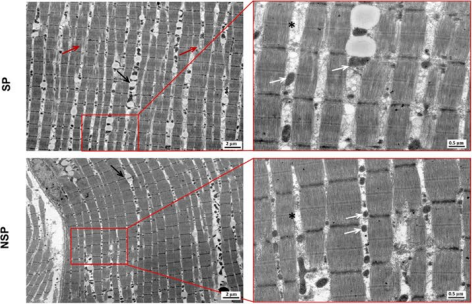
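Longitudinal electron micrographs of skeletal muscle showing parallel myofibrils with regular sarcomeres, each bounded by dark transverse lines and showing alternating light and dark bands. Pale gaps, some marked with asterisks, run between the myofibrils. In the upper row the striated pattern is interrupted in places, the gaps between myofibrils look wider, and the enlarged view shows pale rounded spaces between the bundles. In the lower row the myofibrils are more tightly aligned with a more regular banding pattern.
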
